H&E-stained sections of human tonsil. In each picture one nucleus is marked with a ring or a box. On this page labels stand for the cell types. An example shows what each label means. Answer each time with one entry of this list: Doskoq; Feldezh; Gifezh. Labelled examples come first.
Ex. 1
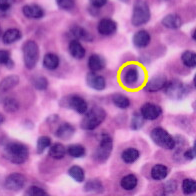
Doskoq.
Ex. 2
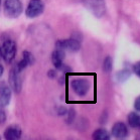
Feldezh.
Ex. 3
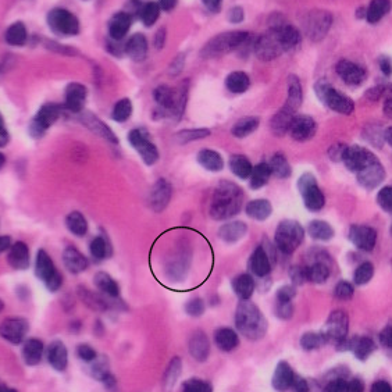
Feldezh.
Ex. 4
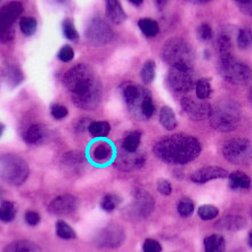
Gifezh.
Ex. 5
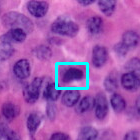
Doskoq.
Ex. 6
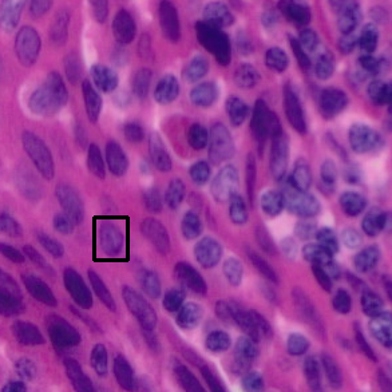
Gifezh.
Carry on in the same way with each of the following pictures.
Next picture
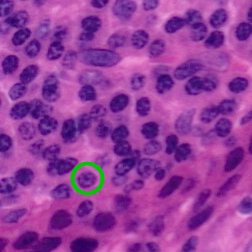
Doskoq.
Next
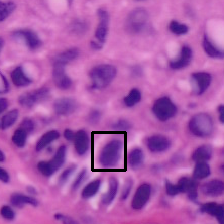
Gifezh.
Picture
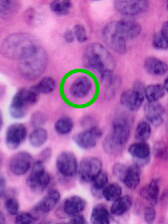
Feldezh.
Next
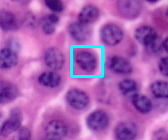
Doskoq.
